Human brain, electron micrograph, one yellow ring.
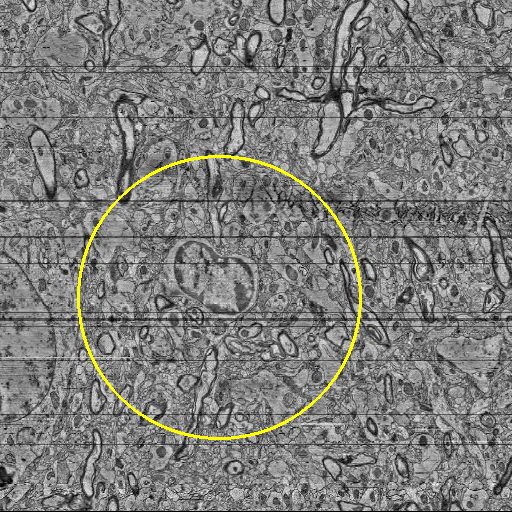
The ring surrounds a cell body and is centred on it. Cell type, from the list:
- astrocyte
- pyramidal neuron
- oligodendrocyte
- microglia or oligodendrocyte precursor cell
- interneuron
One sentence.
The yellow ring circles a microglial cell or oligodendrocyte precursor cell.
